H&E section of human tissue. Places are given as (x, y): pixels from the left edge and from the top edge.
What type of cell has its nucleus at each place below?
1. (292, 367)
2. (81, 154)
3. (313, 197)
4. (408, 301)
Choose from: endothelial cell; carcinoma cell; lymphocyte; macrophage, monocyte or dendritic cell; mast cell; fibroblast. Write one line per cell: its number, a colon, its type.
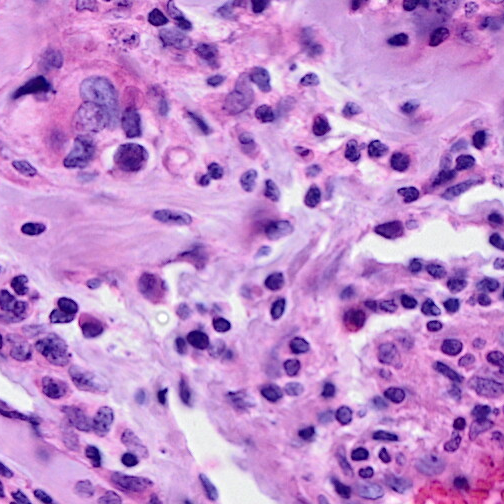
1: lymphocyte
2: carcinoma cell
3: lymphocyte
4: lymphocyte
